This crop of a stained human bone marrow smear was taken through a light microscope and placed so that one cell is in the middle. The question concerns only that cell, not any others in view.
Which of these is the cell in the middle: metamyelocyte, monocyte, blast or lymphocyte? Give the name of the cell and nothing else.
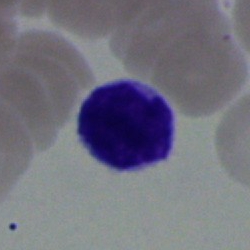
lymphocyte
